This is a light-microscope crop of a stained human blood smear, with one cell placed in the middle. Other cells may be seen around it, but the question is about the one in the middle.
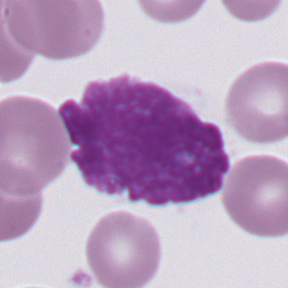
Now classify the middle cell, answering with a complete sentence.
In the center of this field lies a smudge cell.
